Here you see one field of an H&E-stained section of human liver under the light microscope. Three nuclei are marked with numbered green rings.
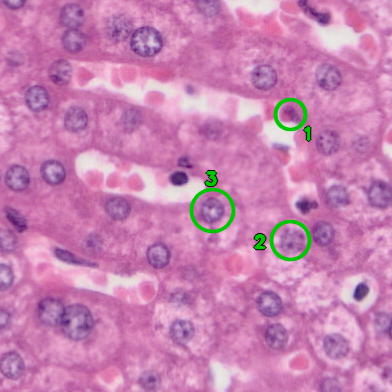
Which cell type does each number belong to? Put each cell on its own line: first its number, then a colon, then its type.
1: endothelial cell
2: hepatocyte
3: hepatocyte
